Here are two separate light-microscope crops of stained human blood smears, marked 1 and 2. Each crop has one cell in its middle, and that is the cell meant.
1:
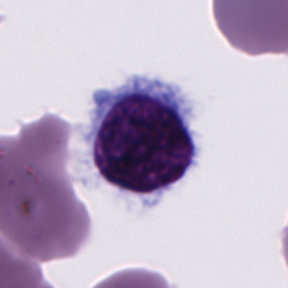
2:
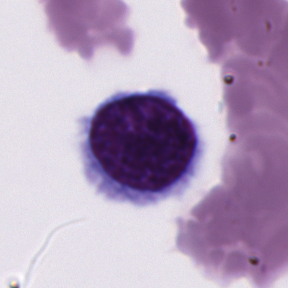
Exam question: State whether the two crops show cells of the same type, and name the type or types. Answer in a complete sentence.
Yes, both crops show hairy cells, and the two match.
